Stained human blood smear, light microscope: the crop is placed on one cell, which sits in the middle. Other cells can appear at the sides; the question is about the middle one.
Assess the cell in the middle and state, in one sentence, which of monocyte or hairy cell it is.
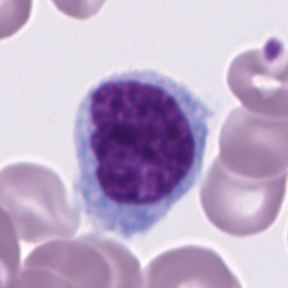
The cell nearest the centre of this crop is a monocyte.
